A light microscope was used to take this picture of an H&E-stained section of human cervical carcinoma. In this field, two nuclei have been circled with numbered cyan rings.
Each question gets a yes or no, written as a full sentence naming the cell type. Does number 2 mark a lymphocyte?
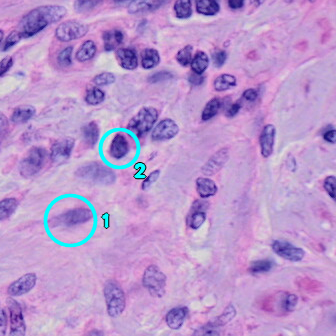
Yes, number 2 in this section denotes a lymphocyte.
